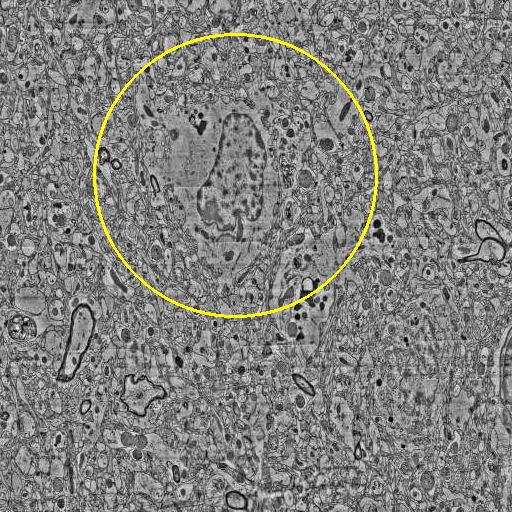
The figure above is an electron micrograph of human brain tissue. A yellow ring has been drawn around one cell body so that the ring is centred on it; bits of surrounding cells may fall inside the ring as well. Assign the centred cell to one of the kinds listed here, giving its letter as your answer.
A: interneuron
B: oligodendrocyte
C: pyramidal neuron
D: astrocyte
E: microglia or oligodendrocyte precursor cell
D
